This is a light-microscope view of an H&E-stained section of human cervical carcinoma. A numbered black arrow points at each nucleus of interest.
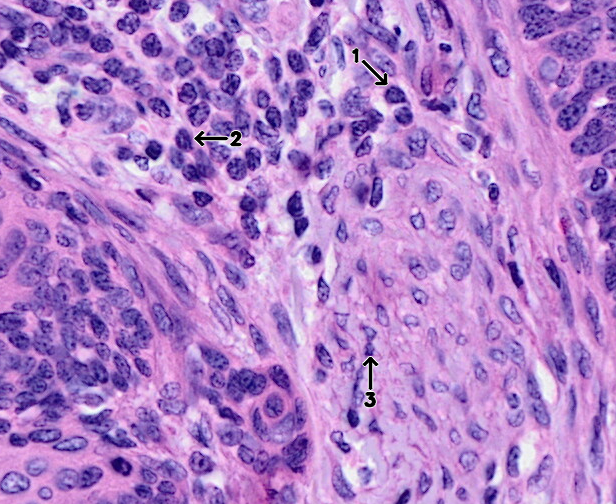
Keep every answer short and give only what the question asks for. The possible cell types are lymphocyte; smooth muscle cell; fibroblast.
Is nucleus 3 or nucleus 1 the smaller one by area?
3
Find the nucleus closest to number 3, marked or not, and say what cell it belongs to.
smooth muscle cell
